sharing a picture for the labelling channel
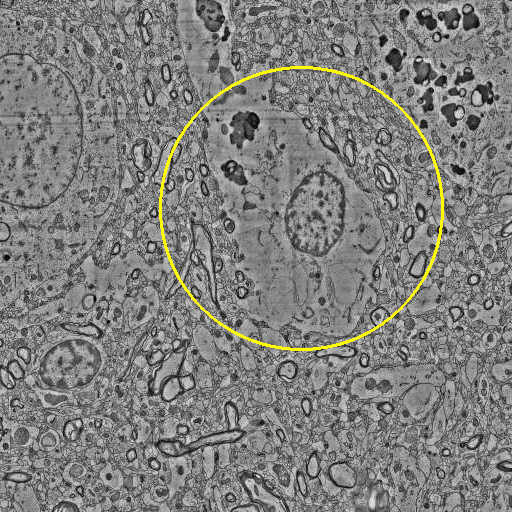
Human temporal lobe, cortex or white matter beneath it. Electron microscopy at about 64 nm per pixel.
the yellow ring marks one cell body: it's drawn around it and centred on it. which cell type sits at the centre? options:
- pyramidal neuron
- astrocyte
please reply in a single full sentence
In the picture, the cell at the ring's centre is an astrocyte, going by the list.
